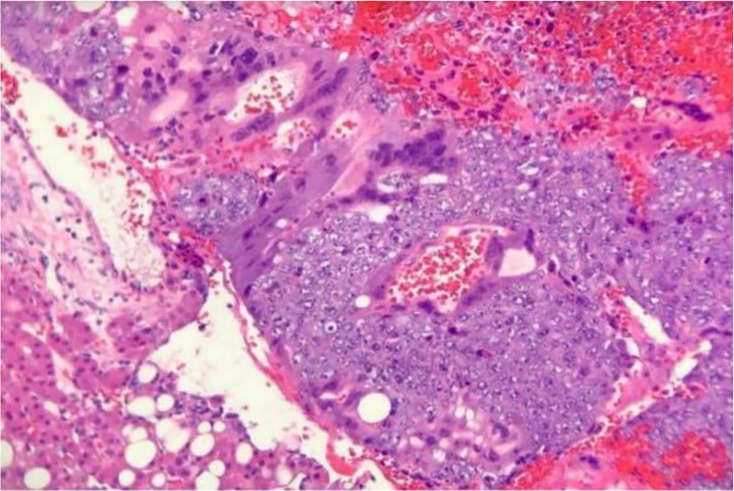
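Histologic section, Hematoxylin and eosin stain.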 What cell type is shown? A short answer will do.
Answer: Mononucleated trophoblast and multinucleated syncytiotrophoblast cells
